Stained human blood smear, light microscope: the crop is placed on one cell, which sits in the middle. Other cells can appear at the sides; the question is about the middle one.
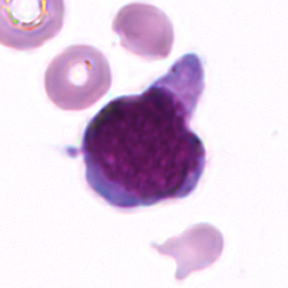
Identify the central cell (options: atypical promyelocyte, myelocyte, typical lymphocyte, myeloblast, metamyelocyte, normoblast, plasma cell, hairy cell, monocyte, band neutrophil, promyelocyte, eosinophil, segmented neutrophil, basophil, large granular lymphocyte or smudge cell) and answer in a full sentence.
This crop has an atypical promyelocyte at its centre.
